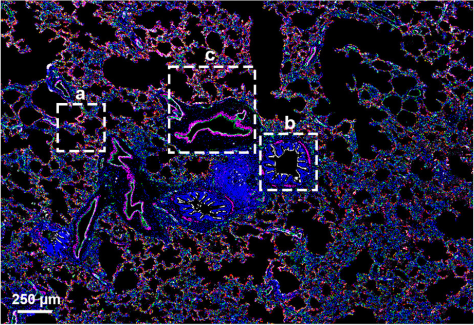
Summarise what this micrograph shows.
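A low-power view of lung parenchyma made of many open, thin-walled air spaces whose septa are traced in red with scattered turquoise and green dots along them. Among these lie larger structures: a rounded airway with a folded lining that glows white on its luminal side and a thin purple rim outside, and elongated vessels with continuous purple walls. Around the larger airway and vessels sits denser blue-nucleated connective tissue. The open, lace-like pattern of septa marks mature alveolar lung, with bronchioles and blood vessels embedded in it.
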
